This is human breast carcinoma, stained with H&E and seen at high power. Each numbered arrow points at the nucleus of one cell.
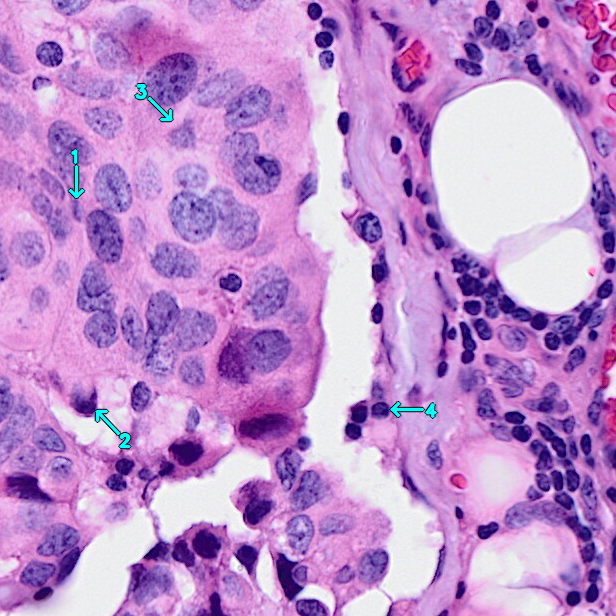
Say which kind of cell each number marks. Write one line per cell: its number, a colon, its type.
1: carcinoma cell
2: carcinoma cell
3: carcinoma cell
4: lymphocyte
